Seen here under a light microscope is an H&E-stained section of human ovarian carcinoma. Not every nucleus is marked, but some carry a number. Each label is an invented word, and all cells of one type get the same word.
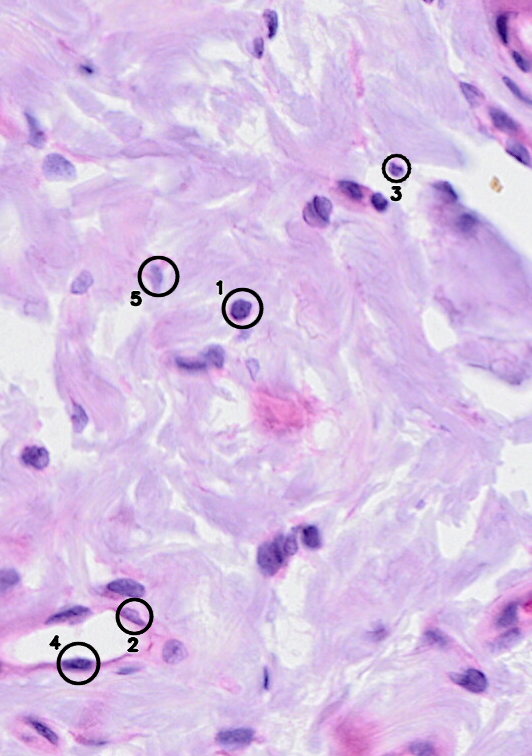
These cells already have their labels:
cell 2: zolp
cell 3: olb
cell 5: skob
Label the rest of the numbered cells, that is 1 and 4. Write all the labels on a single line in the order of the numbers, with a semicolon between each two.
olb; zolp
